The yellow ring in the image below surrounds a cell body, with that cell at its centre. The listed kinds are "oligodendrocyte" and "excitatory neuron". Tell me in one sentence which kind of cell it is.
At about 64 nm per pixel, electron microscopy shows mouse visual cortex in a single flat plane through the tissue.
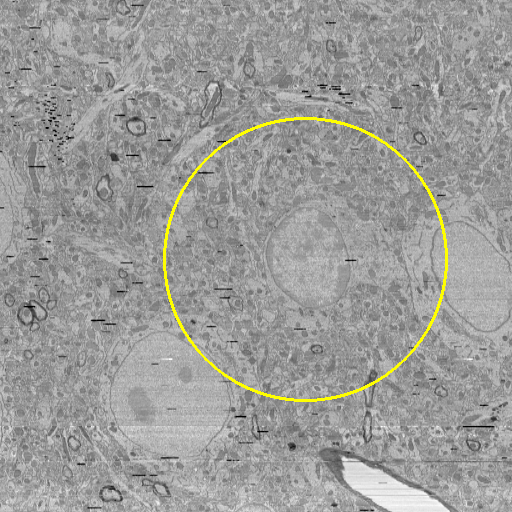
The centre of the ring holds an oligodendrocyte.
